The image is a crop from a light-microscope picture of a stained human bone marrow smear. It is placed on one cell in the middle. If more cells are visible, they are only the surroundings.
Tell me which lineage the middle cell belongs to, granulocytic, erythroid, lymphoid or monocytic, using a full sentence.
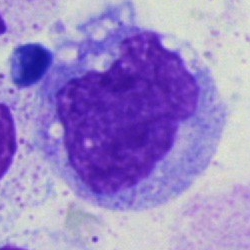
Lineage field for the centered cell should read monocytic.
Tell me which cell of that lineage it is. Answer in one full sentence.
The cell positioned in the middle of the field is a monocyte.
